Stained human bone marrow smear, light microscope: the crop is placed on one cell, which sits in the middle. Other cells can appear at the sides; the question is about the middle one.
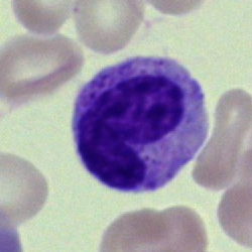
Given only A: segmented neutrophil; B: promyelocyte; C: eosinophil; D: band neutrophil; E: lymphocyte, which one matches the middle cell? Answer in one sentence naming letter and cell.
Identified correctly by option D, the cell in the middle is a band neutrophil.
